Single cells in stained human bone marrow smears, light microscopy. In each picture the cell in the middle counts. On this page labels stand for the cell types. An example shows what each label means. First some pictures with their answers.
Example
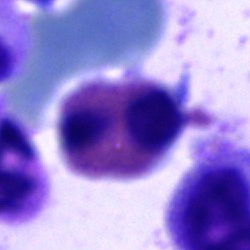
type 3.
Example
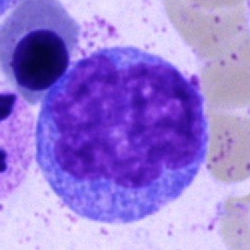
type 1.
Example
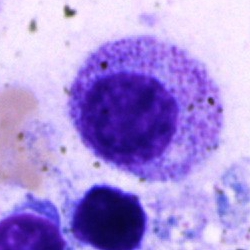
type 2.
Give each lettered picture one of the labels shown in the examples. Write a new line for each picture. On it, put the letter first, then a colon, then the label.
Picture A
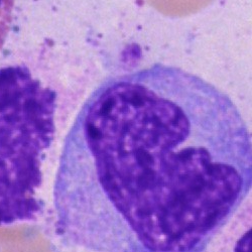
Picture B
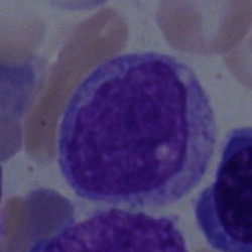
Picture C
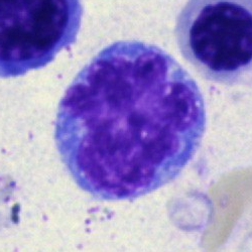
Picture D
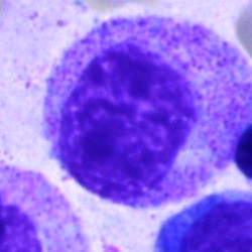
A: type 1.
B: type 1.
C: type 1.
D: type 2.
